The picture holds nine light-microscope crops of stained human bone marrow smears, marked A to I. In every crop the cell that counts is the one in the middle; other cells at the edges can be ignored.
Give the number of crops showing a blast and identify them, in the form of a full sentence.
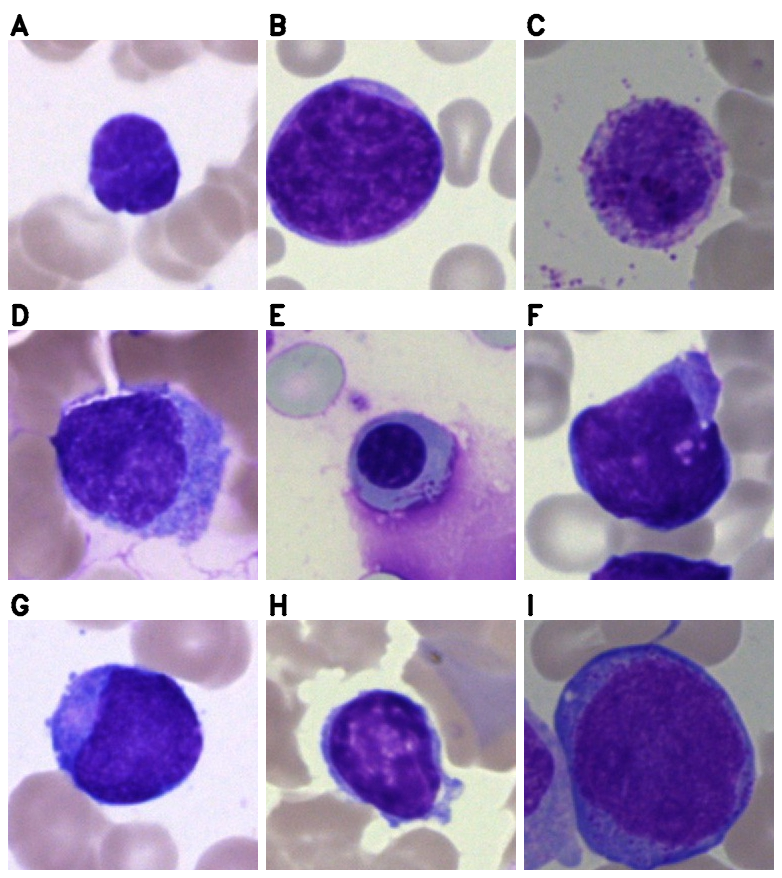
Showing blasts are crops B, F, G and I, which amount to four.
